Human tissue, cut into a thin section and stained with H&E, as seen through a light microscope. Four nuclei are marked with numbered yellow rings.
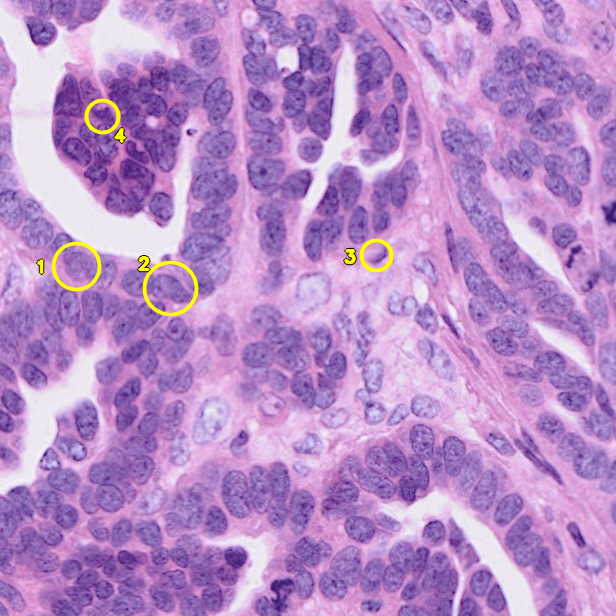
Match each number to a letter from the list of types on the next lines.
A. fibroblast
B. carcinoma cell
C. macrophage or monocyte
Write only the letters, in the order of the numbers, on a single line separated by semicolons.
B; B; A; B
